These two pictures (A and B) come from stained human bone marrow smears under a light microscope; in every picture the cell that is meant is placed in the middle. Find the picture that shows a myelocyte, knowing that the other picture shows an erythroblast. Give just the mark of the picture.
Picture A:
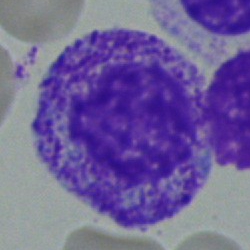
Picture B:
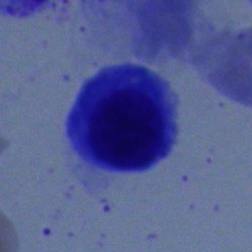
A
